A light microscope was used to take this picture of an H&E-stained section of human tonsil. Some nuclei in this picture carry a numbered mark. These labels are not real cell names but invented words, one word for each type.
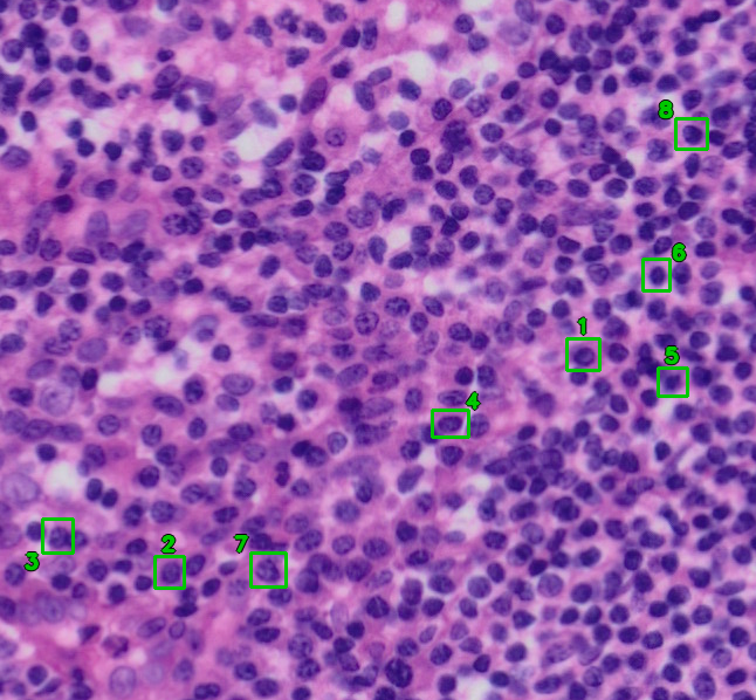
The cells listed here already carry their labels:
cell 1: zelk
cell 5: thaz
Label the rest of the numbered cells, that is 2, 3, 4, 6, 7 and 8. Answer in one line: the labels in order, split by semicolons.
zelk; zelk; zelk; thaz; zelk; thaz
